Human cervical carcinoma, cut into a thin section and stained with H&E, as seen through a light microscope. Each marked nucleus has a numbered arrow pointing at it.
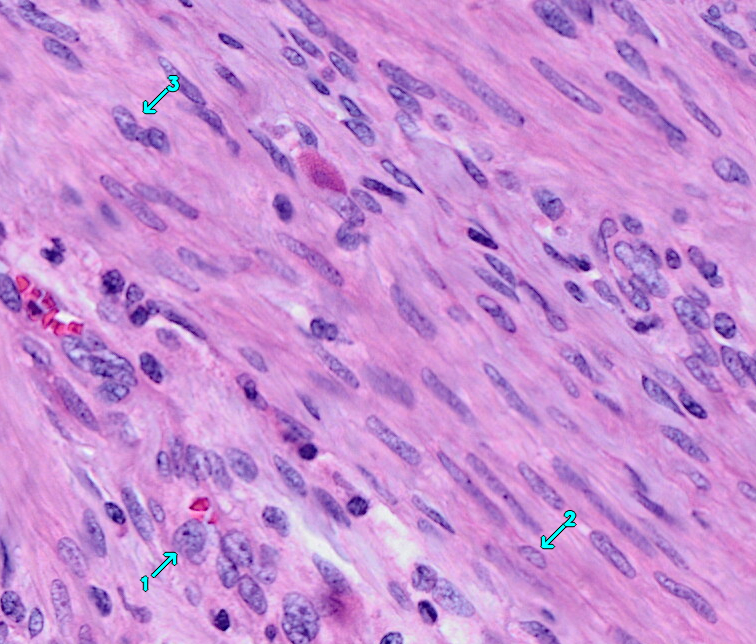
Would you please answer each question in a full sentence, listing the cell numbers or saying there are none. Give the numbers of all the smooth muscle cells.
The cells shown with numbers 2 and 3 are smooth muscle cells.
